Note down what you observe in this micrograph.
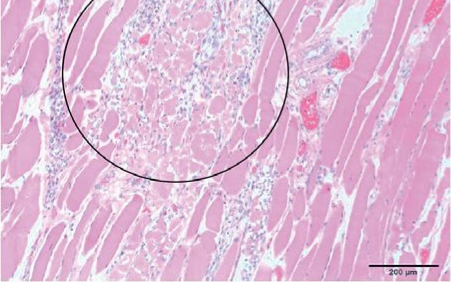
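Skeletal muscle with longitudinally and obliquely cut pink fibres contains a focal area of degeneration. In that area the fibres are pale, fragmented and lack distinct striations, with numerous small blue nuclei scattered between them. Around it, intact fibres vary in width, and blood vessels filled with red blood cells lie in the interstitium.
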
